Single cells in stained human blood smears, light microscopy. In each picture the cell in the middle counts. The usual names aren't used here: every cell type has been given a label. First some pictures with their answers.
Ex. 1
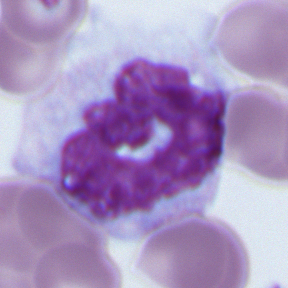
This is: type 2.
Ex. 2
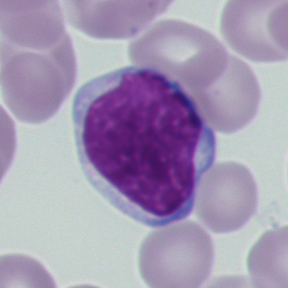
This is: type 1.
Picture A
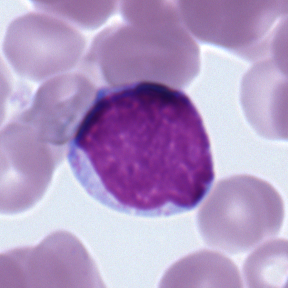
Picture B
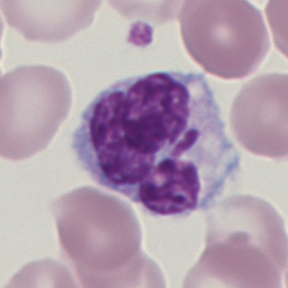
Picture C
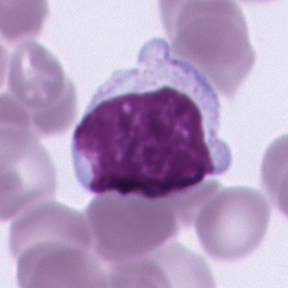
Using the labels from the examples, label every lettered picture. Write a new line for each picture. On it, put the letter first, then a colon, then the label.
A: type 1.
B: type 2.
C: type 1.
